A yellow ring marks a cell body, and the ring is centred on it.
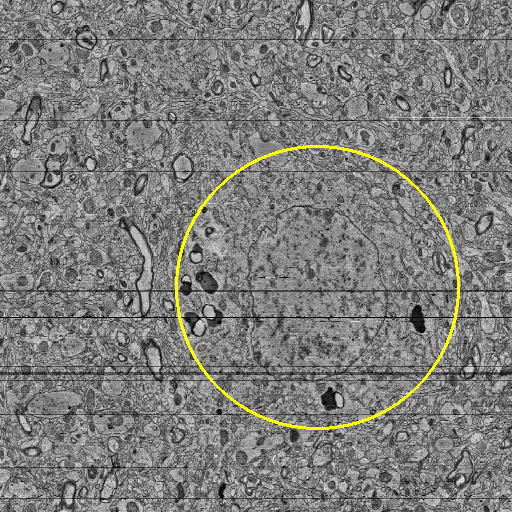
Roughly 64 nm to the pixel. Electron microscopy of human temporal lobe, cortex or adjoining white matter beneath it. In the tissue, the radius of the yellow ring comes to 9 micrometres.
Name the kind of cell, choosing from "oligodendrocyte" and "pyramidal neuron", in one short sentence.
The marked cell body belongs to a pyramidal neuron.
